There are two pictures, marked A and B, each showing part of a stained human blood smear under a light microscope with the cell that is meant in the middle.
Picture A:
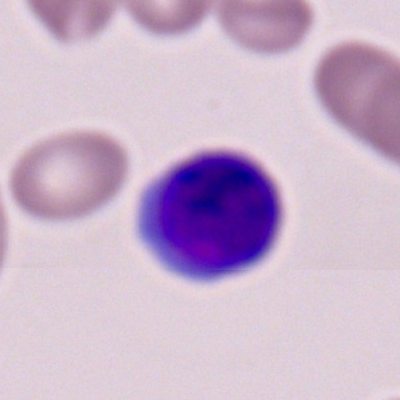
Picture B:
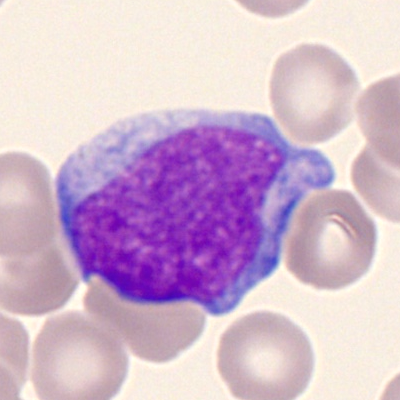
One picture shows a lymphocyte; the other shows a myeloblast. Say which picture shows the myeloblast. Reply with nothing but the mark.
B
